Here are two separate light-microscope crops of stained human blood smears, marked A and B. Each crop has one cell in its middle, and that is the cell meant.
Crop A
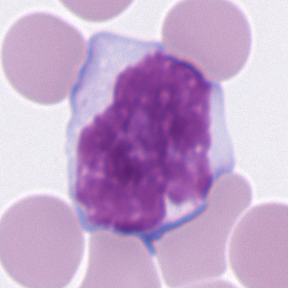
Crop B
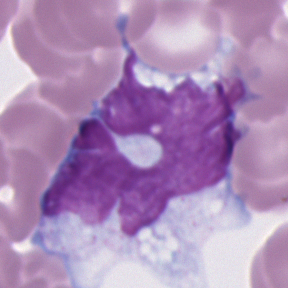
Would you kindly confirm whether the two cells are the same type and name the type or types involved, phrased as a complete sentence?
Yes, they do, both crops show monocytes.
